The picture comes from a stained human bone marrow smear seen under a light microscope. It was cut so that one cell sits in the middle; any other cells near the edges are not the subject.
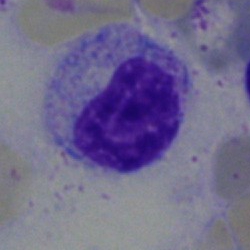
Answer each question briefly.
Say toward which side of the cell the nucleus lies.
lower right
